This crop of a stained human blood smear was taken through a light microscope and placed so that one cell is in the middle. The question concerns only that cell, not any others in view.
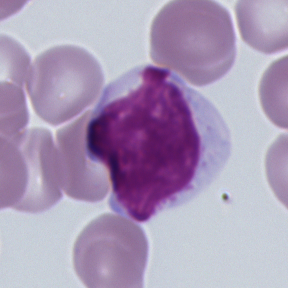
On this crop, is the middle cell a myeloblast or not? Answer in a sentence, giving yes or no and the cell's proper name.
No, the central cell here is a large granular lymphocyte; calling it a myeloblast is not right.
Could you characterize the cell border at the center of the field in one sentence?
Smooth all around, the outline has no projections to report.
